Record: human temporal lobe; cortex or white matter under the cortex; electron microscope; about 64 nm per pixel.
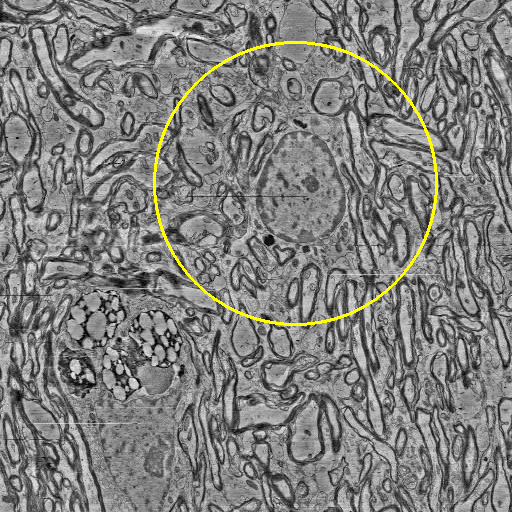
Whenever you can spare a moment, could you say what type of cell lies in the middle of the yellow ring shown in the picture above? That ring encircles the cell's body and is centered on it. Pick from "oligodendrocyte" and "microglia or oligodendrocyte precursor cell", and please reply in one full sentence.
The cell whose body sits at the middle of the yellow ring is a microglial cell or oligodendrocyte precursor cell.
